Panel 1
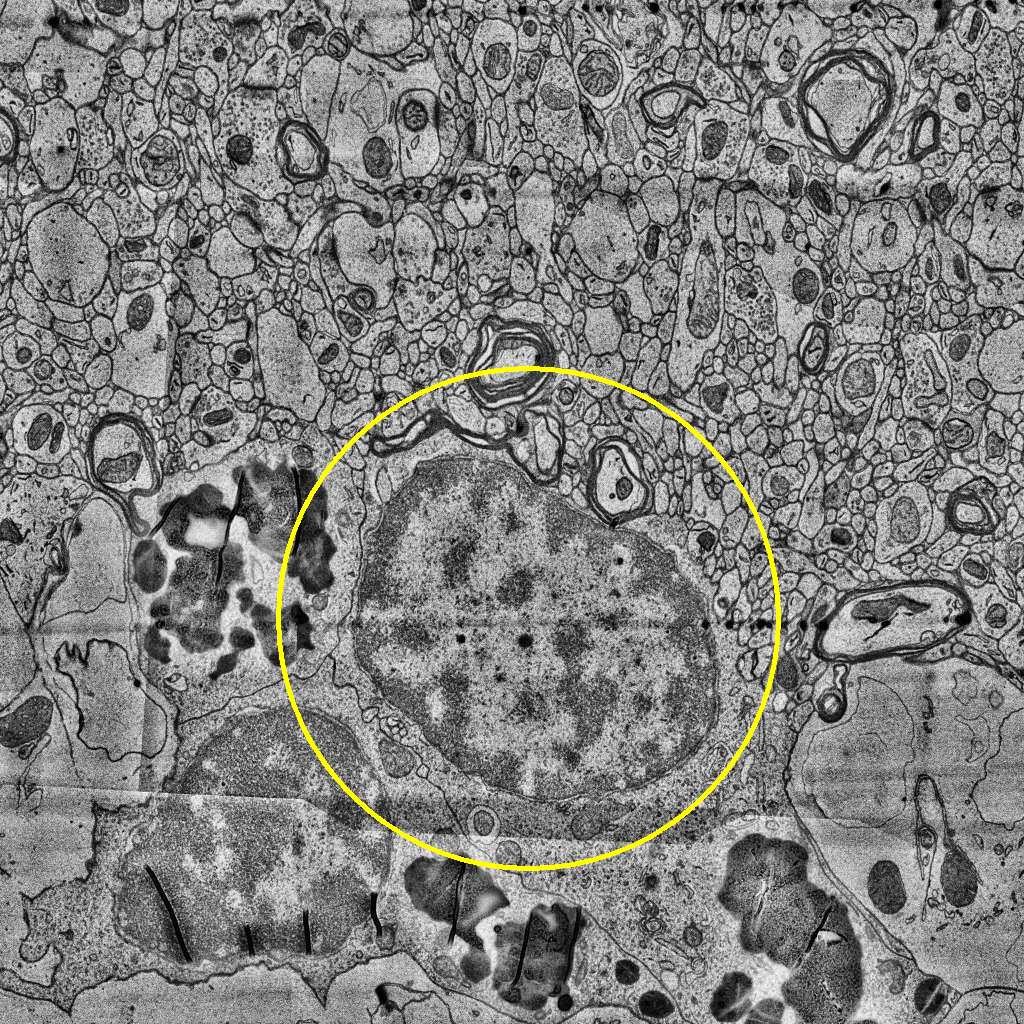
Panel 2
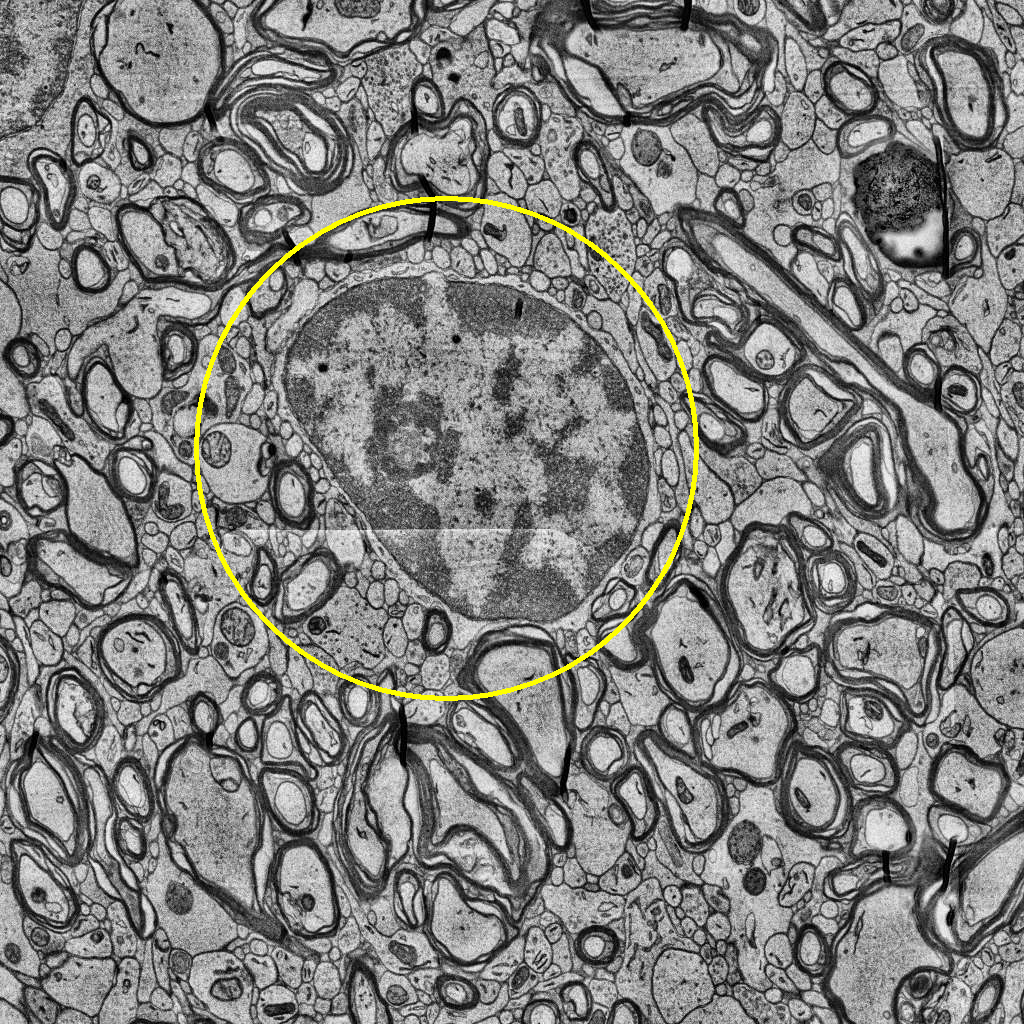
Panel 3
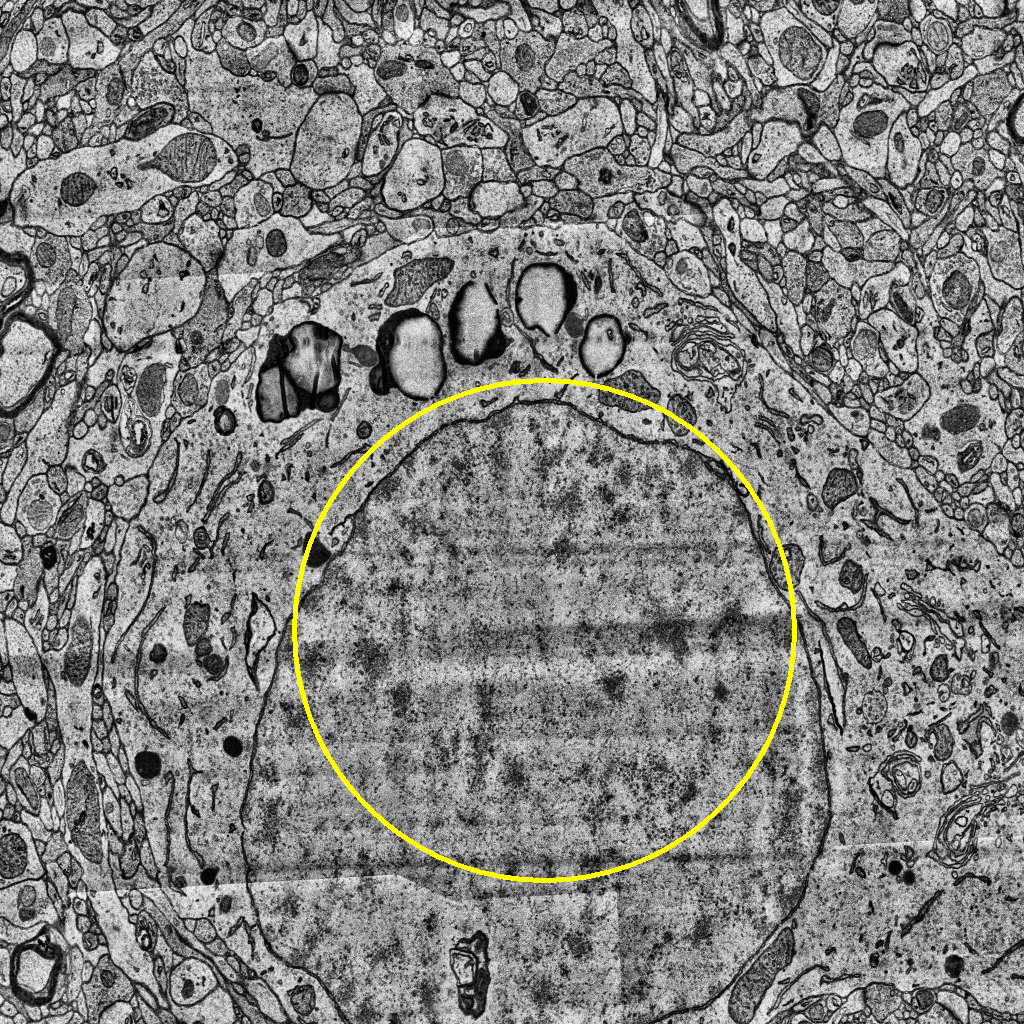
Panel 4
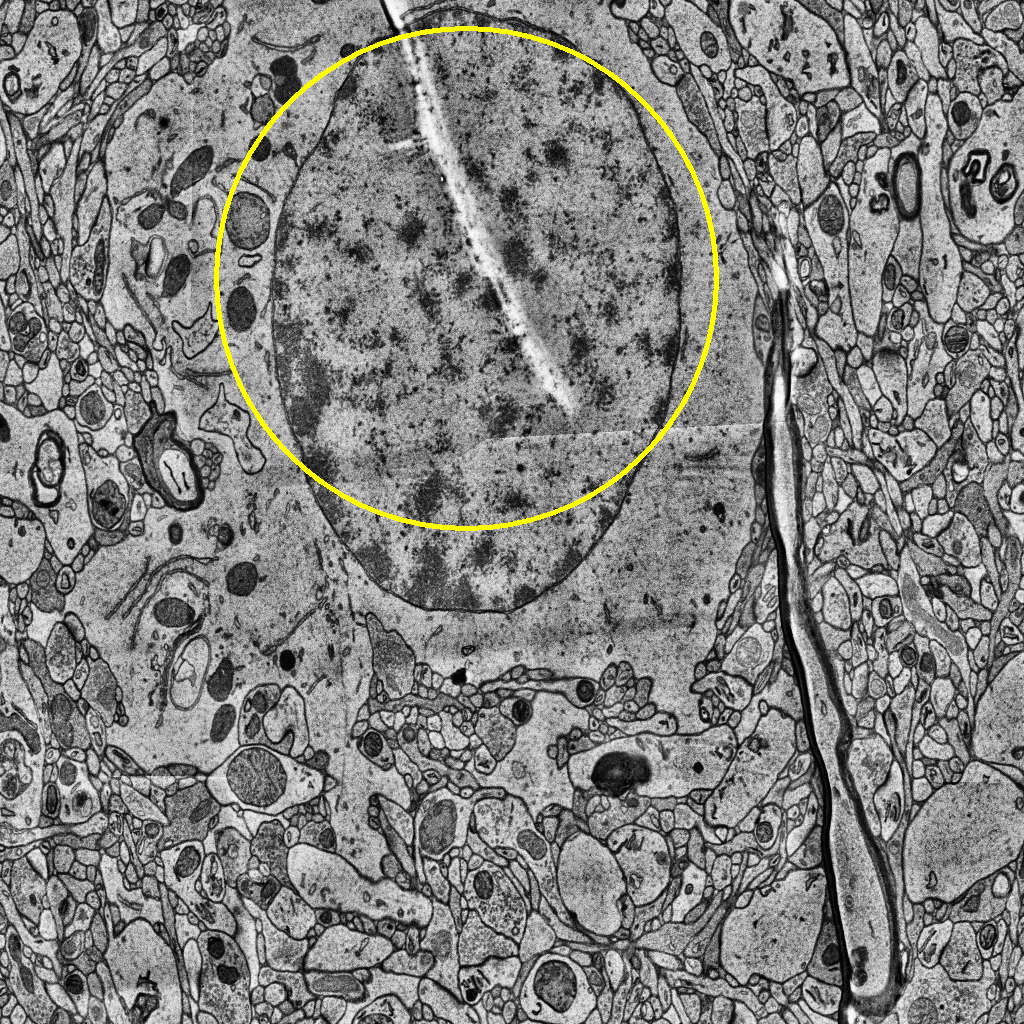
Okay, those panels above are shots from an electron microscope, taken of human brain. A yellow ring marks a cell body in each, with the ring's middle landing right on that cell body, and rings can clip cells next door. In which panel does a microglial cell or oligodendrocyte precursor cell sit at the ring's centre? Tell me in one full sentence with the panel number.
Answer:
The cell you asked for has the ring's centre inside it in panel 2.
